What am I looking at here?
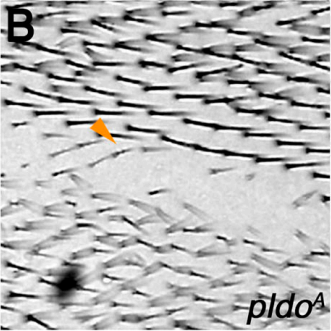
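Adult wing surface with a dense, regular array of dark cuticular hairs, each pointing in the same general direction. A pale, irregular patch in the middle of the field is bare of hairs. Hairs at the edges of the bare patch and below it are thinner and paler than those above, and some are slightly curved.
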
